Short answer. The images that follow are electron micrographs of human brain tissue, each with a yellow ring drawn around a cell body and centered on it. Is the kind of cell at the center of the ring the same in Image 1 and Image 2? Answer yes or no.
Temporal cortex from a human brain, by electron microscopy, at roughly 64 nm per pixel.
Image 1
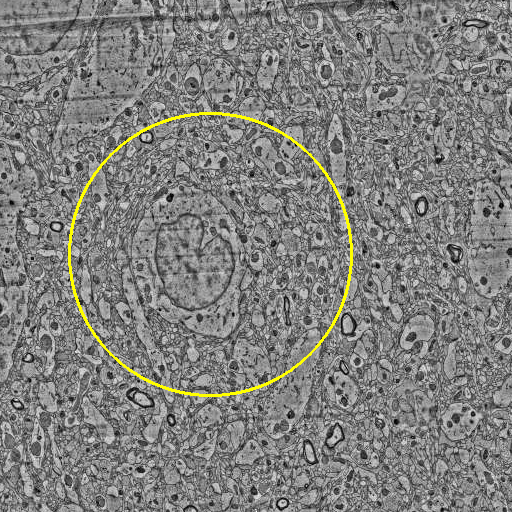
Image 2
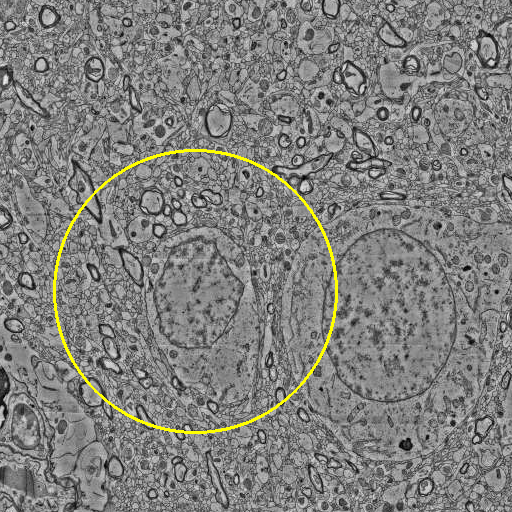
yes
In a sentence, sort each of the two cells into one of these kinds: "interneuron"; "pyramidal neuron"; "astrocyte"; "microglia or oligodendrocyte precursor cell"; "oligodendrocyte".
Each of the two rings is centred on a pyramidal neuron.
